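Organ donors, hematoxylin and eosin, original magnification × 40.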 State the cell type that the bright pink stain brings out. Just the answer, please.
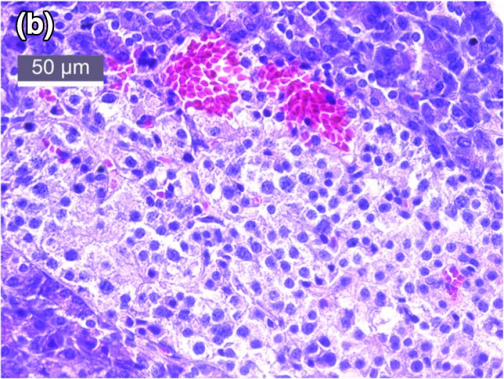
Erythrocytes.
